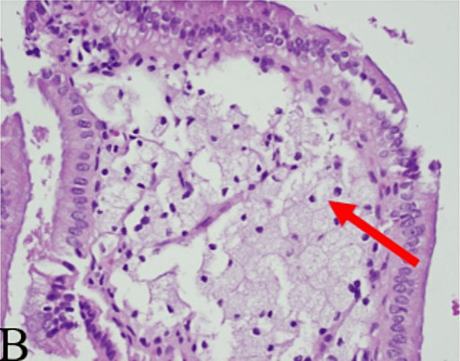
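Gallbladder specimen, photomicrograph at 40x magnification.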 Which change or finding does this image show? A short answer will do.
cholesterolosis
